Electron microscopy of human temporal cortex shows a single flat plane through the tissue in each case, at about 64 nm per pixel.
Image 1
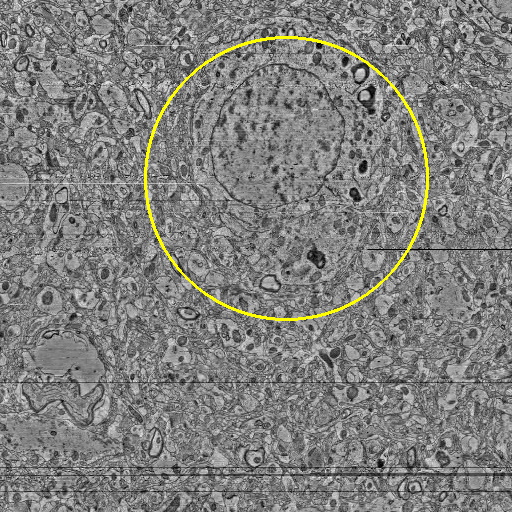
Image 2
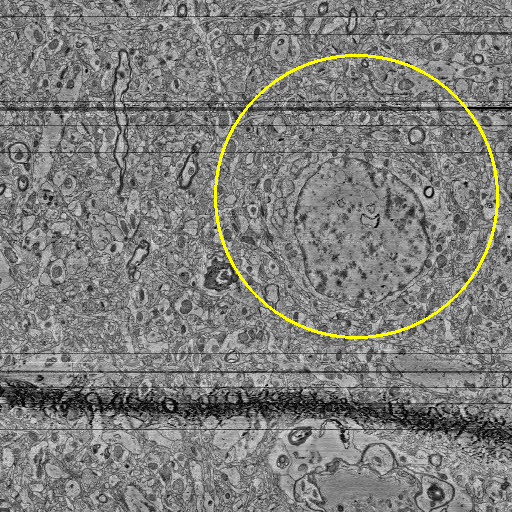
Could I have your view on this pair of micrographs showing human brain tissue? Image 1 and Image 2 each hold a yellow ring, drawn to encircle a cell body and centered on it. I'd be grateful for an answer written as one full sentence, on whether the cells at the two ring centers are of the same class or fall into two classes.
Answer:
The cells at the centers of the two rings fall into two classes.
